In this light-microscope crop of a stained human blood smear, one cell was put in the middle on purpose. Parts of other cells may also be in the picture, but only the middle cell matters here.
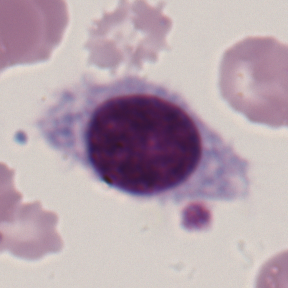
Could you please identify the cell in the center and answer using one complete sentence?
In short, the cell at the center is a hairy cell.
